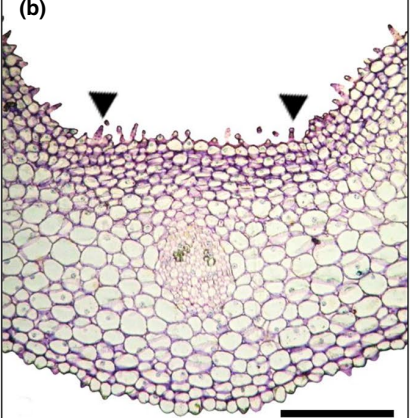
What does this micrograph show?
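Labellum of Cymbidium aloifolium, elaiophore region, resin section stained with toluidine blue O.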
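The outermost cells are small and tightly packed, and several of them bulge outwards into short projections, some of one cell and some of two. Below the surface, a few layers of small cells give way to larger, rounded, thin-walled parenchyma cells whose walls stain purple. A small vascular bundle with narrow cells lies in the middle of the tissue.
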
